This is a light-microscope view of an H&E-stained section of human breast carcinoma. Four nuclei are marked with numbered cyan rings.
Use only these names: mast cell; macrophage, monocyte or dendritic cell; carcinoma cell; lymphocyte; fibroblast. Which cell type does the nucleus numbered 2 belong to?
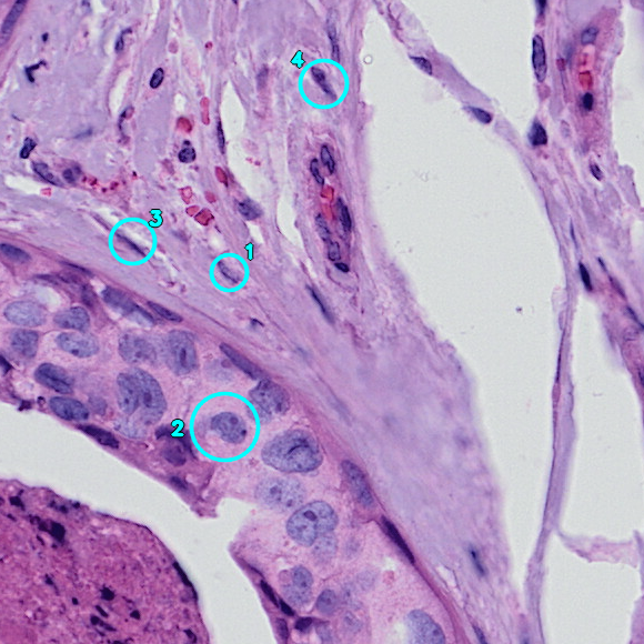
carcinoma cell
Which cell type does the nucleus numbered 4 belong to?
fibroblast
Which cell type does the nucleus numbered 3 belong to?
fibroblast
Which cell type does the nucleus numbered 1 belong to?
fibroblast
